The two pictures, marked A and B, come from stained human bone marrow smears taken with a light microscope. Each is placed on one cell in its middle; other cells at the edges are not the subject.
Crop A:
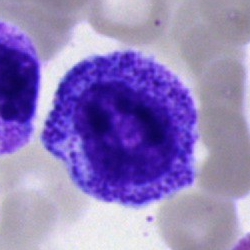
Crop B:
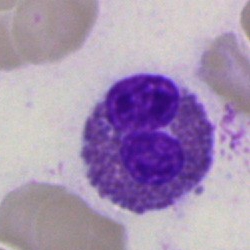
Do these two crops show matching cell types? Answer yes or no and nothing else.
no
